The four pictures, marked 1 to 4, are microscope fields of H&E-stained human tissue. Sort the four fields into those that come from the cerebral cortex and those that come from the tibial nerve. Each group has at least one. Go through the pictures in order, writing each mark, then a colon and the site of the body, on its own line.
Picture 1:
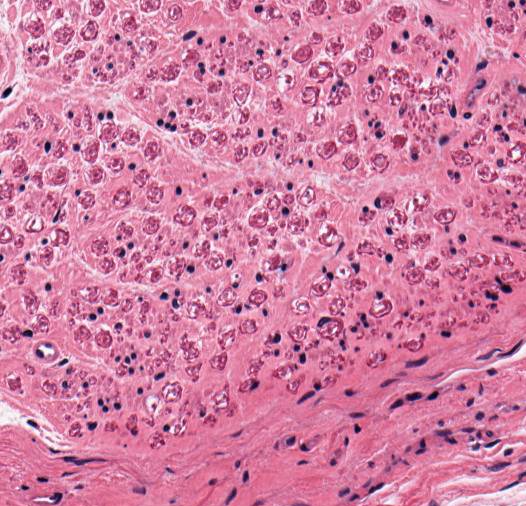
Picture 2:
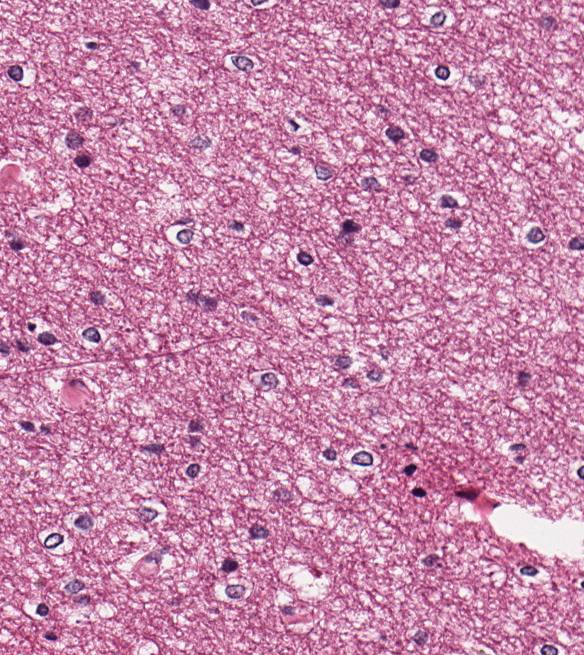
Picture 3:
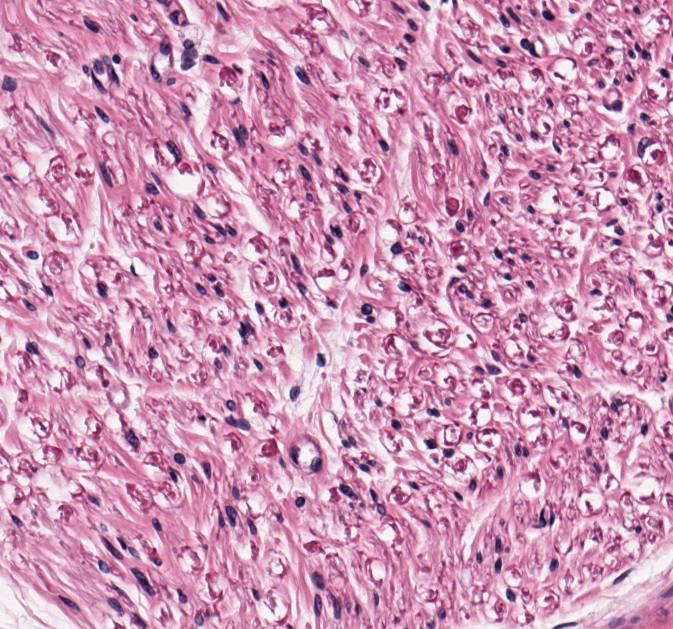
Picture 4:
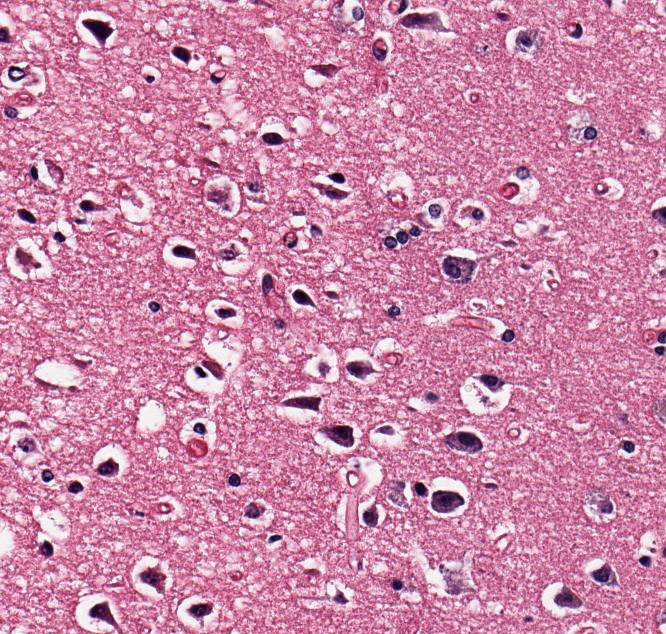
1: tibial nerve
2: cerebral cortex
3: tibial nerve
4: cerebral cortex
